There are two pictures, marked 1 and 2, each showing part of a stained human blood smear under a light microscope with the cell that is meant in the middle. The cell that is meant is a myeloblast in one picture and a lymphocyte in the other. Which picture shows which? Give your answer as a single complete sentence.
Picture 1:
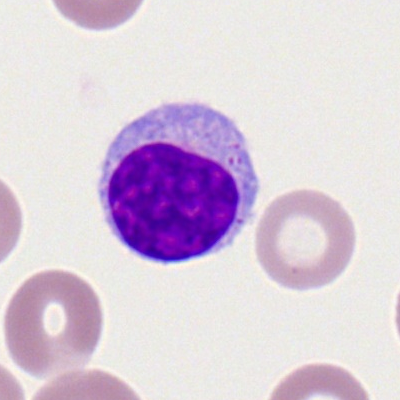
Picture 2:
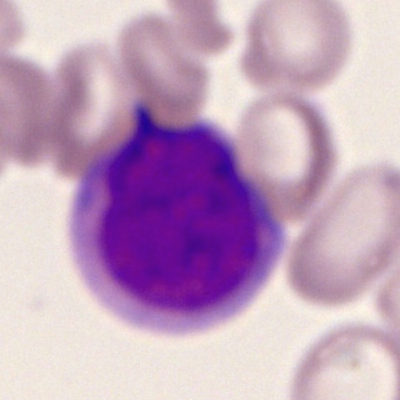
In picture 1 the cell is a lymphocyte; in picture 2, a myeloblast.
